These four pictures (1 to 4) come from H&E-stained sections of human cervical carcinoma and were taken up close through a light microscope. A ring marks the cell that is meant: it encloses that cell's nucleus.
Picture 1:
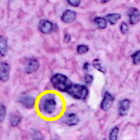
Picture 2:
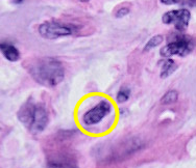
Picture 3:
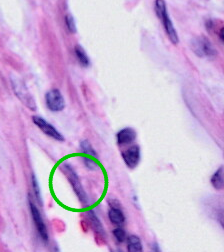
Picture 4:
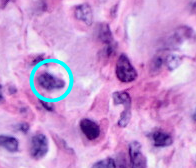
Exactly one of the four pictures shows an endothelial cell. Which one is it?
3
